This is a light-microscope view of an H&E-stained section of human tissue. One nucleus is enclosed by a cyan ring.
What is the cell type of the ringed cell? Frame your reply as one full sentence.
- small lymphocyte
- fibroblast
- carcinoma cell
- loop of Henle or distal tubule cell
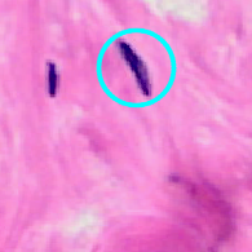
The correct response here is that the ringed cell is a fibroblast.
